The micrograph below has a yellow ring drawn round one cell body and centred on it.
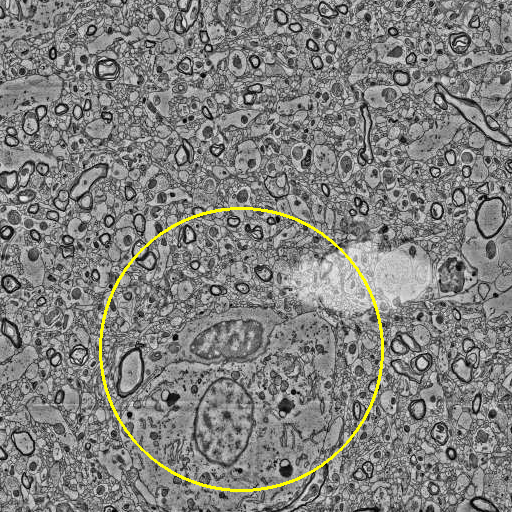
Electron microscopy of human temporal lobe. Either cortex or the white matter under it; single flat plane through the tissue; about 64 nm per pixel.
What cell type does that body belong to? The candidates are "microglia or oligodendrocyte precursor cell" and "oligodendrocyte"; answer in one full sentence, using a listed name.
This is an oligodendrocyte, the cell whose body lies at the centre of the ring.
